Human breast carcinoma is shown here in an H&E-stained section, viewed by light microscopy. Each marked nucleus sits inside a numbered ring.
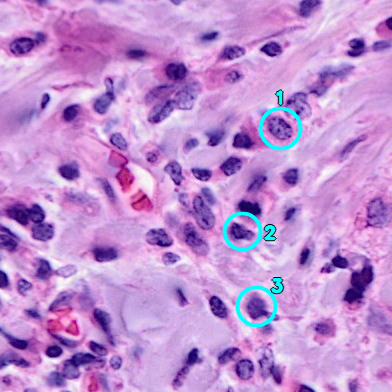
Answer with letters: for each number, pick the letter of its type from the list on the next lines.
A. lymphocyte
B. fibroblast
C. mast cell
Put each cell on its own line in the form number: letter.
1: C
2: A
3: A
